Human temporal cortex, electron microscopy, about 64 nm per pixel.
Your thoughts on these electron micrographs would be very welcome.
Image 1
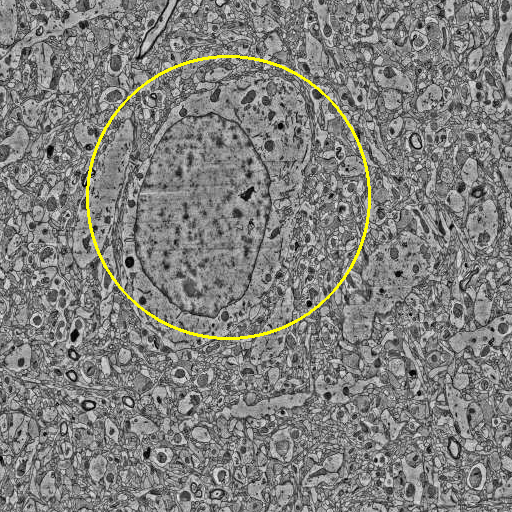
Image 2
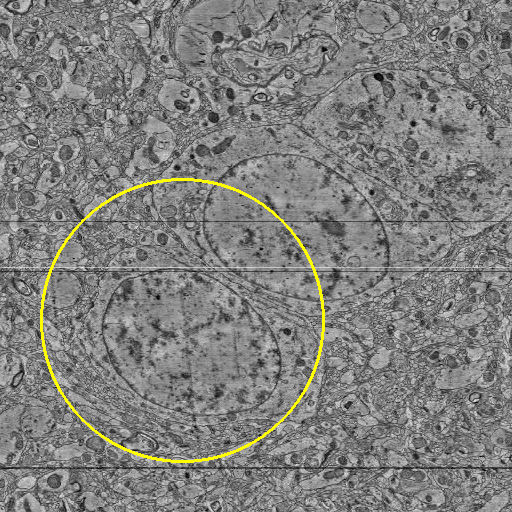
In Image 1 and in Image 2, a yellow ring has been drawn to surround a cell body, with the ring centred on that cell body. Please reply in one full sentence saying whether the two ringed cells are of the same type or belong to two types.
The ringed cells in Image 1 and Image 2 are of the same type.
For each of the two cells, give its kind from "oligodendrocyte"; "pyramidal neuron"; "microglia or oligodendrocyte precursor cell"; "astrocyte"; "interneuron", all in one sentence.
The cell in the first picture is a pyramidal neuron, and so is the one in the second.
